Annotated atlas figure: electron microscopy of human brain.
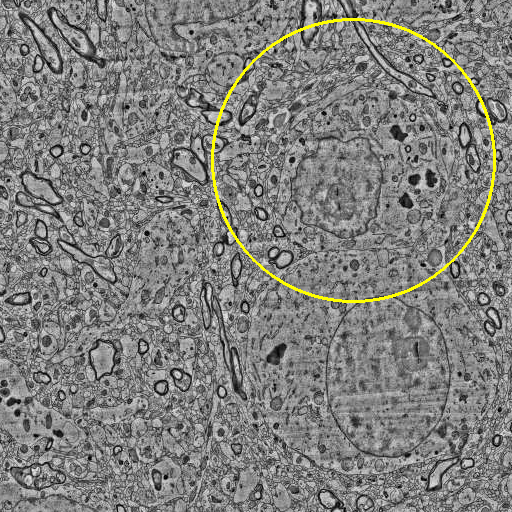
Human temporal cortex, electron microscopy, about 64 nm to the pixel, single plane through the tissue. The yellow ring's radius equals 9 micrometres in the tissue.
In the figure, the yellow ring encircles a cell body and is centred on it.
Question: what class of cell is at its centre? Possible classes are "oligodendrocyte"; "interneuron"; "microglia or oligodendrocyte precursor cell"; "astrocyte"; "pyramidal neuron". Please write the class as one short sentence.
The yellow ring is drawn around an interneuron.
